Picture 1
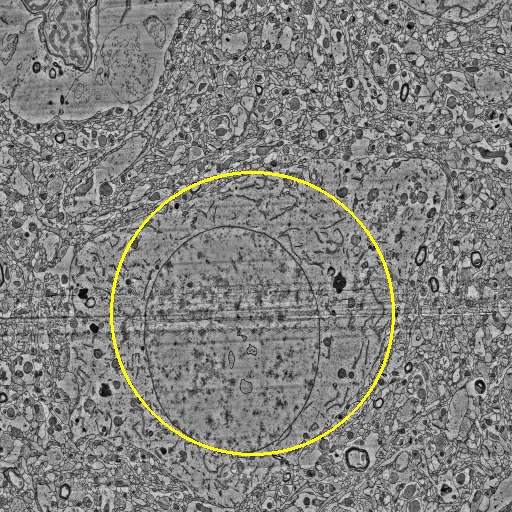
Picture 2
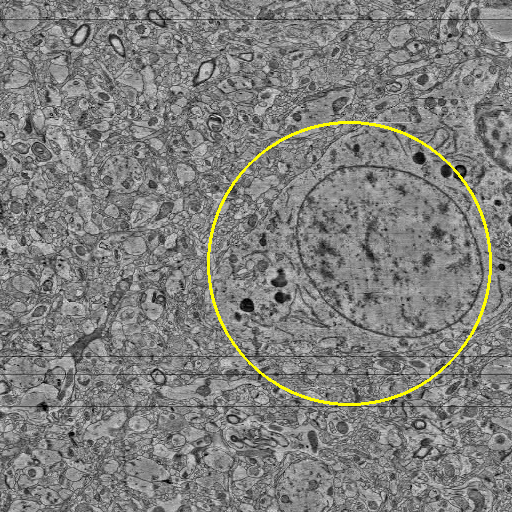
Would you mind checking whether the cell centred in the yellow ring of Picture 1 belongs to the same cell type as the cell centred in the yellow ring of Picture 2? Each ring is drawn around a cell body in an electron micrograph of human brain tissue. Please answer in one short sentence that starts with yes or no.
Yes, both cells are of the same type.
